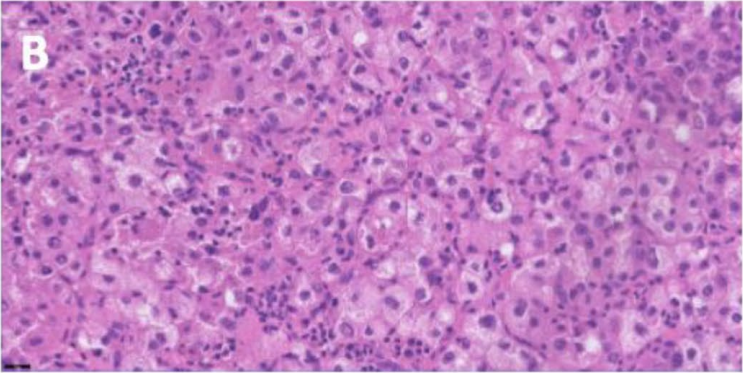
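This is a malignant tumor with a hepatoid aspect: its cells look much like liver cells. They are large and polygonal, with generous pink, partly pale or finely vacuolated cytoplasm and sharp cell borders. Each has a round nucleus, often central, with a distinct nucleolus, and nuclei vary somewhat in size. The cells lie in solid sheets and cord-like groups. Between them run small, dark, round cells with scanty cytoplasm, scattered singly and in small clusters, probably inflammatory cells. A few clear round spaces appear within or between the tumor cells.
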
